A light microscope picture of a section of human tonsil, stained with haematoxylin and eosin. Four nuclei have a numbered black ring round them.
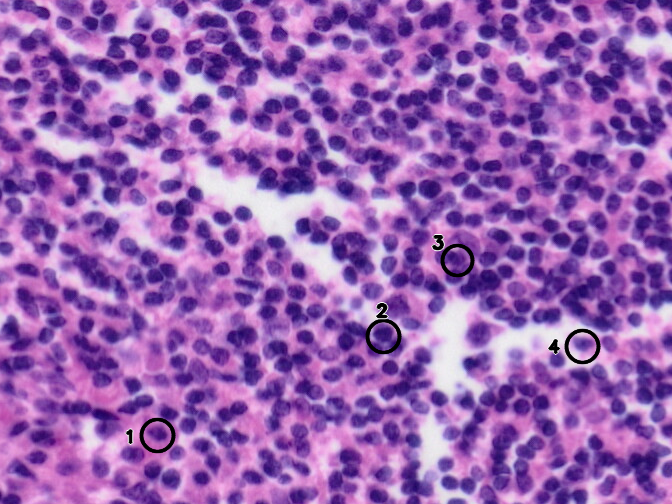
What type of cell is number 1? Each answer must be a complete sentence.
The cell marked with the number 1 is a plasma cell.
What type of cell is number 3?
In this section, the cell tagged 3 is a small lymphocyte.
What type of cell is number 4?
In the tissue shown, cell 4 is a small lymphocyte.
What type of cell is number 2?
The nucleus marked 2 is the nucleus of a small lymphocyte.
